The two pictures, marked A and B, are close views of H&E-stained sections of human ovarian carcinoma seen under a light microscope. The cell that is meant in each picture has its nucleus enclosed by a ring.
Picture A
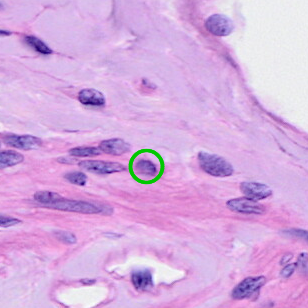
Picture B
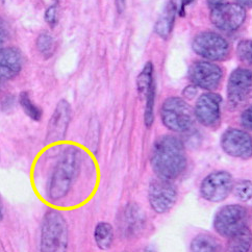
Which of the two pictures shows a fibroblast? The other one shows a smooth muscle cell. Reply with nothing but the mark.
B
